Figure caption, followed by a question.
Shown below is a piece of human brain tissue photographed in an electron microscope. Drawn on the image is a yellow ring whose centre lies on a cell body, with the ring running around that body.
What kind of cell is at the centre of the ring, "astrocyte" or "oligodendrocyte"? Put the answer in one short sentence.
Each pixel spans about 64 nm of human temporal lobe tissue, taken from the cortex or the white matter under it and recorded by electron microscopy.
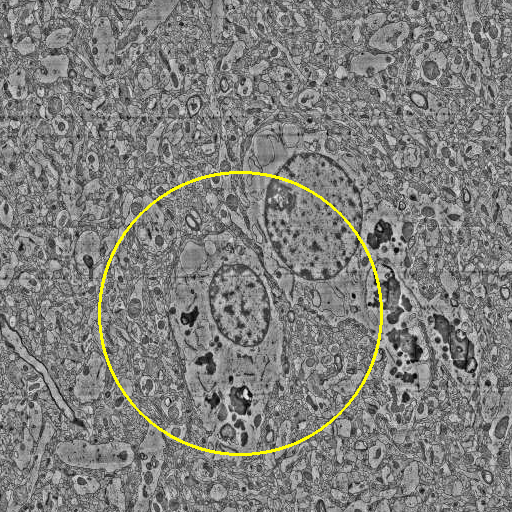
The ring marks the cell body of an astrocyte.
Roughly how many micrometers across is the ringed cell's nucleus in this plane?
About 5 by 4 micrometres in this plane.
